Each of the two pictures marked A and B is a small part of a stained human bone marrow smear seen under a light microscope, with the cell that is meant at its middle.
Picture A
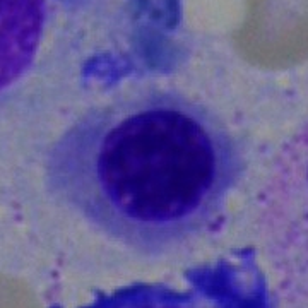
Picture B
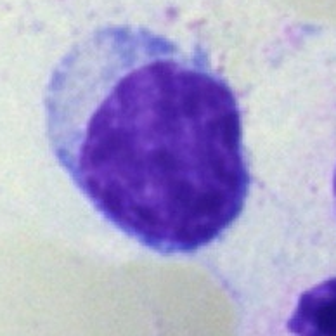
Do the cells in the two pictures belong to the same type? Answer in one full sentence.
No, picture A shows an erythroblast and picture B shows a lymphocyte.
